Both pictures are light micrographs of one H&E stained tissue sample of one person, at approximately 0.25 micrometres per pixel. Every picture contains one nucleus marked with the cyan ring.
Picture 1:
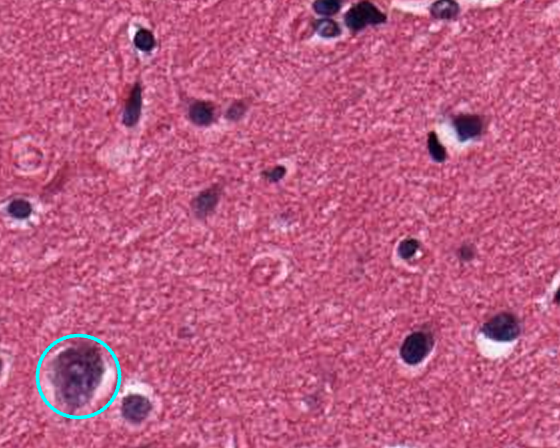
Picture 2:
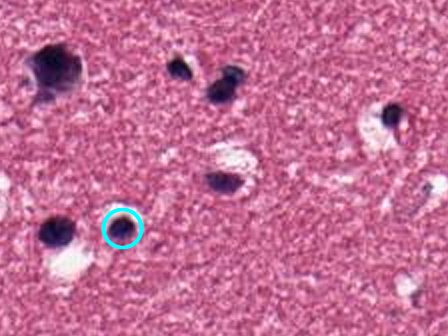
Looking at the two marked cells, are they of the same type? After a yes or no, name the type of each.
No, the first is a neuron and the second an oligodendrocyte.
